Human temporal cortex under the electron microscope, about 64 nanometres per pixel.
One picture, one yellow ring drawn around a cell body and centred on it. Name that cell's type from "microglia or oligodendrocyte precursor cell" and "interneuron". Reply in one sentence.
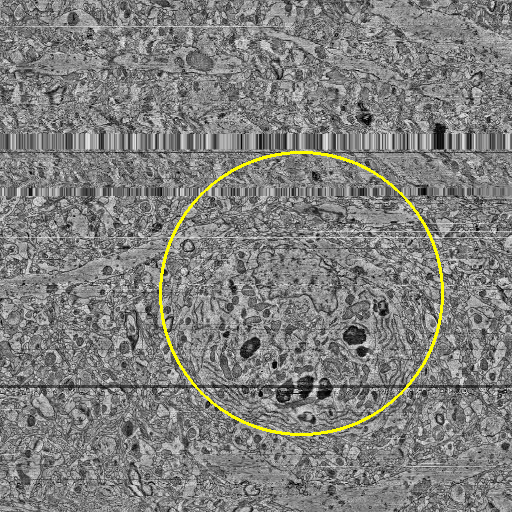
Centred in the ring is an interneuron.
